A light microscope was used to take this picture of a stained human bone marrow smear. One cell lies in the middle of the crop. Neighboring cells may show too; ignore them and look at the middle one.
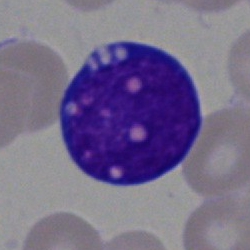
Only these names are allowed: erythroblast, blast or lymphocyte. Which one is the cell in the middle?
blast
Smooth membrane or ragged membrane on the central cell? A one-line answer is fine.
No projections interrupt the outline; it is smooth all the way round.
